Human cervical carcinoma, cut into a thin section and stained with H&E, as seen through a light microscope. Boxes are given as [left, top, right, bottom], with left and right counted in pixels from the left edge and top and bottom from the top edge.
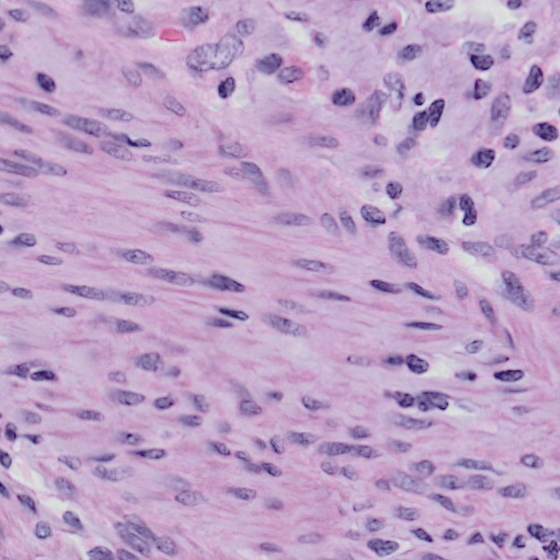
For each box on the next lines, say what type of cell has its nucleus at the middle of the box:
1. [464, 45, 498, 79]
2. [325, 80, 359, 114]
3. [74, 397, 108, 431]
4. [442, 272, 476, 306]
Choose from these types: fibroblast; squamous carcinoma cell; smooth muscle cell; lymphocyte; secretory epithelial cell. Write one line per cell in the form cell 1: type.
cell 1: lymphocyte
cell 2: lymphocyte
cell 3: smooth muscle cell
cell 4: smooth muscle cell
